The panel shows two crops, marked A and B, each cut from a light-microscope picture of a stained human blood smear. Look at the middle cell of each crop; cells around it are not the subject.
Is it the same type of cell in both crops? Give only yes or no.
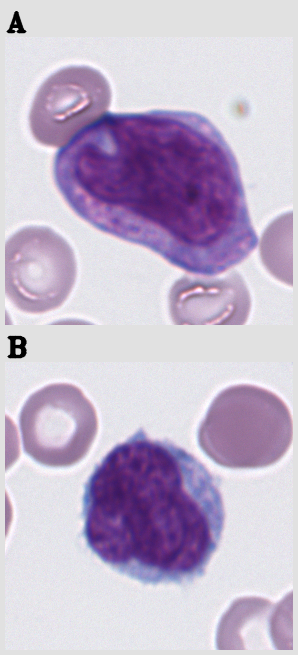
no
